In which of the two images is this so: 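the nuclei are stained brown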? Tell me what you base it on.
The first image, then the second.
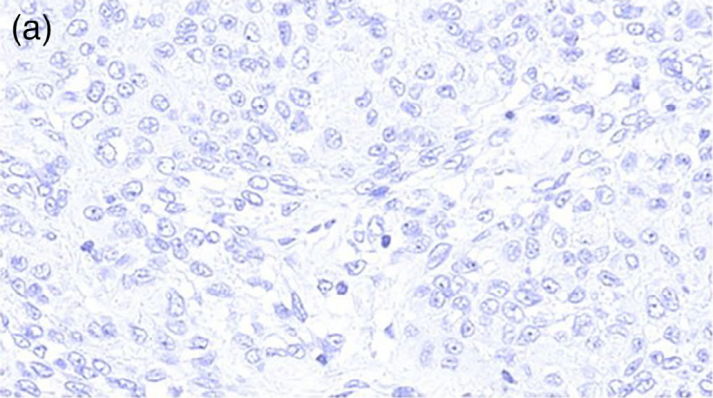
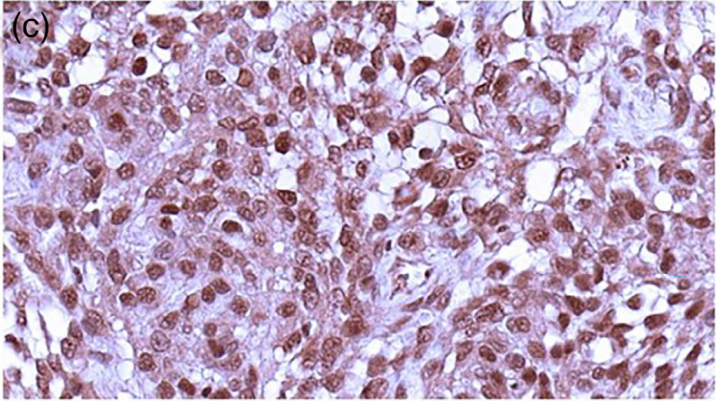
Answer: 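Second image: most nuclei and the cytoplasm are brown. First image: all nuclei are pale blue with no brown anywhere.
Conclusion: the second image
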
